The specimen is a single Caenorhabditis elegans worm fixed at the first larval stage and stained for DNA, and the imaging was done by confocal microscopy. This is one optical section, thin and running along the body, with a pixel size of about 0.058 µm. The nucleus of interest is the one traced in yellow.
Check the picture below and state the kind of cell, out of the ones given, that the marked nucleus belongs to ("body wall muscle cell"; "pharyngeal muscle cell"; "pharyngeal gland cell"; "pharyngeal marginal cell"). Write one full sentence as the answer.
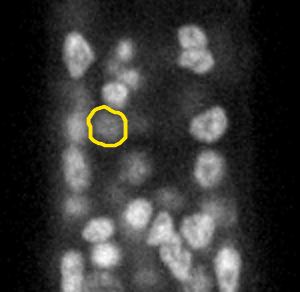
The marked cell is a pharyngeal marginal cell.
